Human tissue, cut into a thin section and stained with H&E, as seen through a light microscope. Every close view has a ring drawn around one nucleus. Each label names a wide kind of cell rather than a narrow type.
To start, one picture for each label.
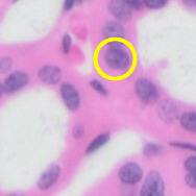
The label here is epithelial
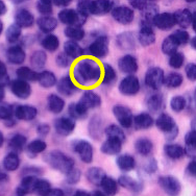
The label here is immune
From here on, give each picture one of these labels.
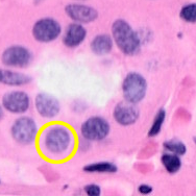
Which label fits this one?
epithelial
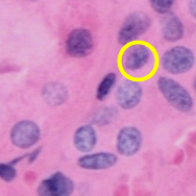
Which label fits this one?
epithelial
